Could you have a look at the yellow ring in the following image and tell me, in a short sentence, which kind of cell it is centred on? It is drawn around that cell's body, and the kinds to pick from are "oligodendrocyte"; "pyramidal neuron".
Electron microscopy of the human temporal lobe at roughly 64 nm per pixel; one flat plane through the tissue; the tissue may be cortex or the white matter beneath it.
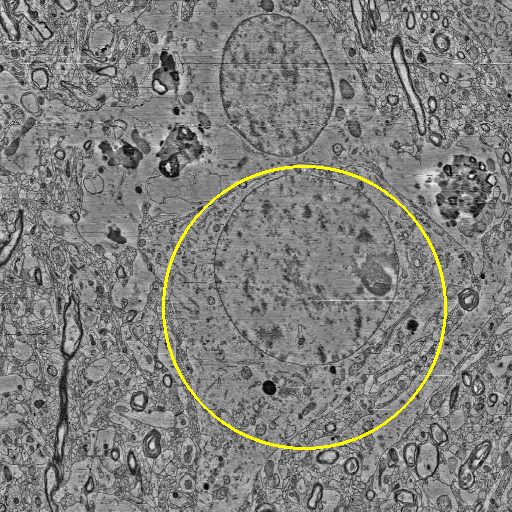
The ring is centred on the body of a pyramidal neuron.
